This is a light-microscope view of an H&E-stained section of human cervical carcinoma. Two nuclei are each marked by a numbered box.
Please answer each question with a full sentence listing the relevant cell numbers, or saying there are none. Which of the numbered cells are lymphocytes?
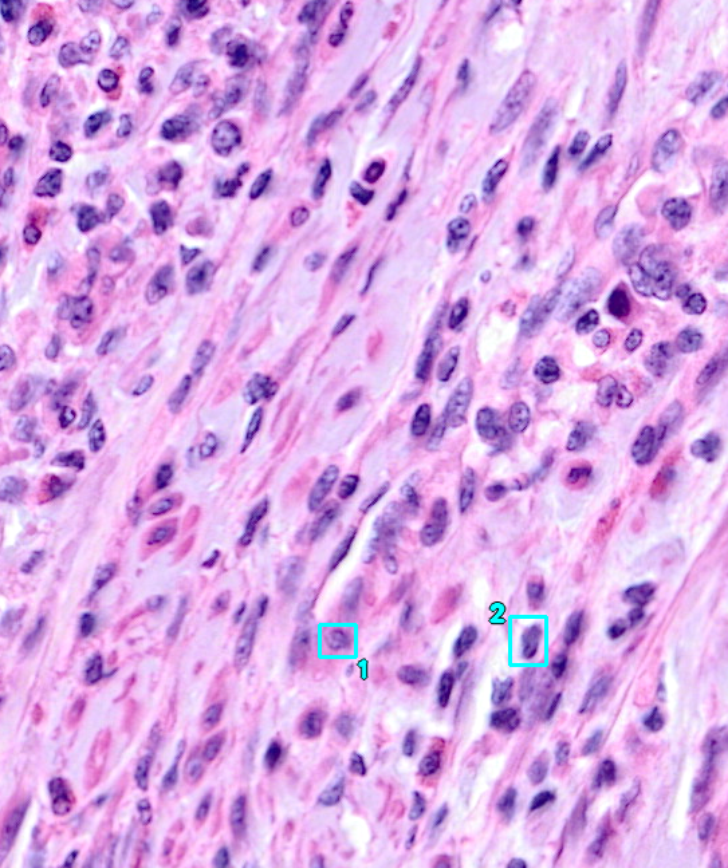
Among the marked cells, cell number 2 alone is a lymphocyte.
